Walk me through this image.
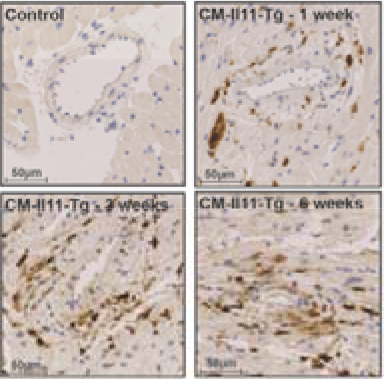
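In the first view a thin-walled vessel with a lining of flat cells sits in pale tissue, and almost no brown cells are present. In the other three views many brown cells are scattered through the tissue between vessels and muscle. In the two lower views the tissue is crowded with brown cells and blue nuclei, and the regular layout of the surrounding tissue is less clear.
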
